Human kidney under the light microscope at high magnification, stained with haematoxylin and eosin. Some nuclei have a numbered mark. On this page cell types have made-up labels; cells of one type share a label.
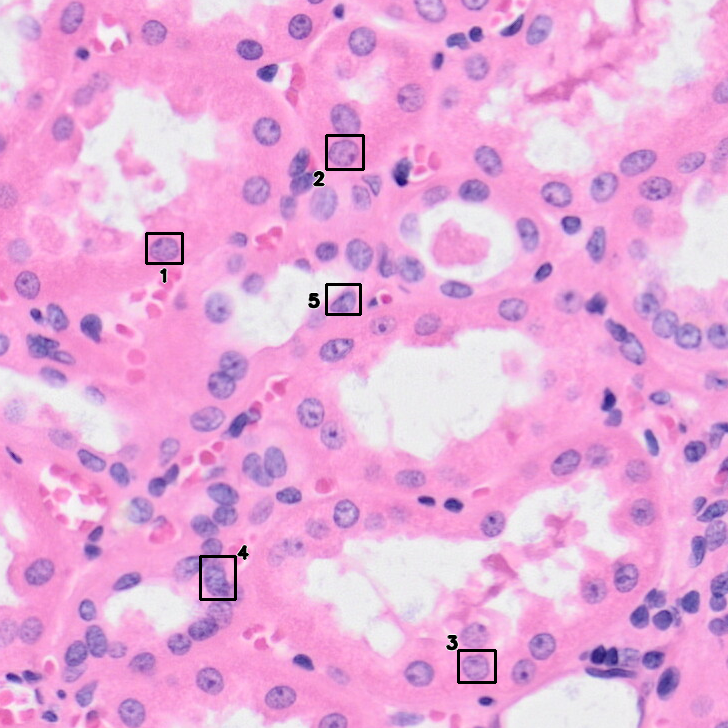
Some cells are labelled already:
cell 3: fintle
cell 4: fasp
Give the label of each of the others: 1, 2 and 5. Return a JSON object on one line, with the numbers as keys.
{"1": "fintle", "2": "fintle", "5": "fasp"}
